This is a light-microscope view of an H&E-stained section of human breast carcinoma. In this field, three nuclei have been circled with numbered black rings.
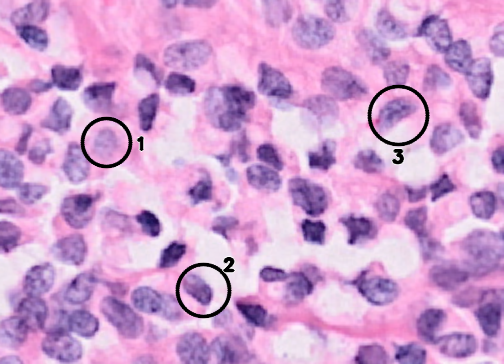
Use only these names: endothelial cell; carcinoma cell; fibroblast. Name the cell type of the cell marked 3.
endothelial cell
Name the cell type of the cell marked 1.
carcinoma cell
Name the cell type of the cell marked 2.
carcinoma cell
